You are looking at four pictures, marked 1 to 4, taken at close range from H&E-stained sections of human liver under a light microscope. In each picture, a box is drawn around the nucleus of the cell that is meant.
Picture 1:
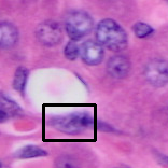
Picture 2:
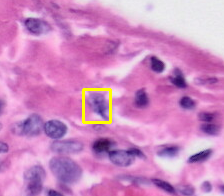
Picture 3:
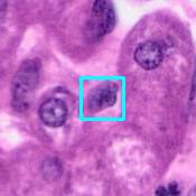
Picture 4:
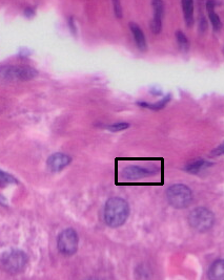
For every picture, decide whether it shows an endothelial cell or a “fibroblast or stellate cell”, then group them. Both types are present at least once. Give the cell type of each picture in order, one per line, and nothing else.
fibroblast or stellate cell
fibroblast or stellate cell
endothelial cell
fibroblast or stellate cell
